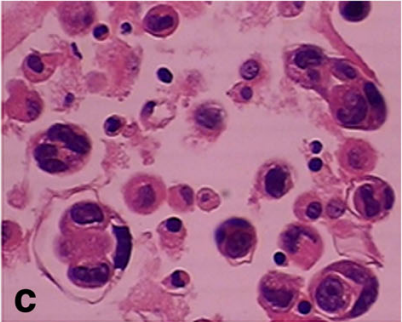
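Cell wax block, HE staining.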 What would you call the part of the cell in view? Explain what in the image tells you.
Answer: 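Large cells have big nuclei with conspicuous nucleoli. These cells are much larger than the small dark round cells nearby. The answer: gigantic nucleoli.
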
